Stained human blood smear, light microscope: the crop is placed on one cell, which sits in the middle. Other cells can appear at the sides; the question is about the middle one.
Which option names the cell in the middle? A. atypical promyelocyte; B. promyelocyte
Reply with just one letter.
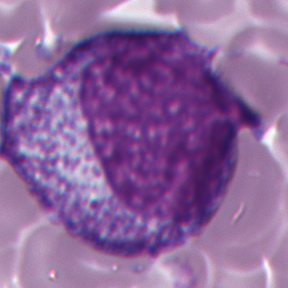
B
